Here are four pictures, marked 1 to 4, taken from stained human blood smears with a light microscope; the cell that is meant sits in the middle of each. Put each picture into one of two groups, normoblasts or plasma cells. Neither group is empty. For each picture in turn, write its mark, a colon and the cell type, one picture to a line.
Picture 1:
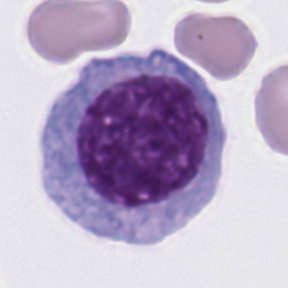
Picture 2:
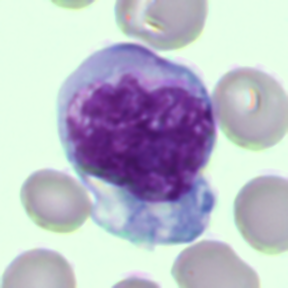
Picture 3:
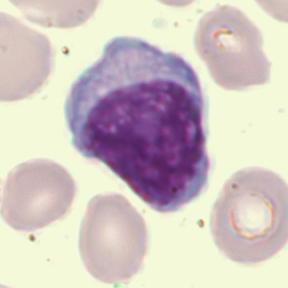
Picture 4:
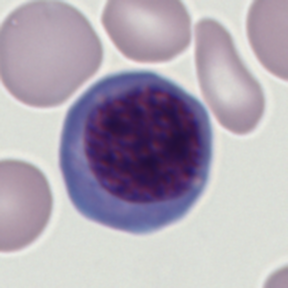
1: plasma cell
2: plasma cell
3: plasma cell
4: normoblast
